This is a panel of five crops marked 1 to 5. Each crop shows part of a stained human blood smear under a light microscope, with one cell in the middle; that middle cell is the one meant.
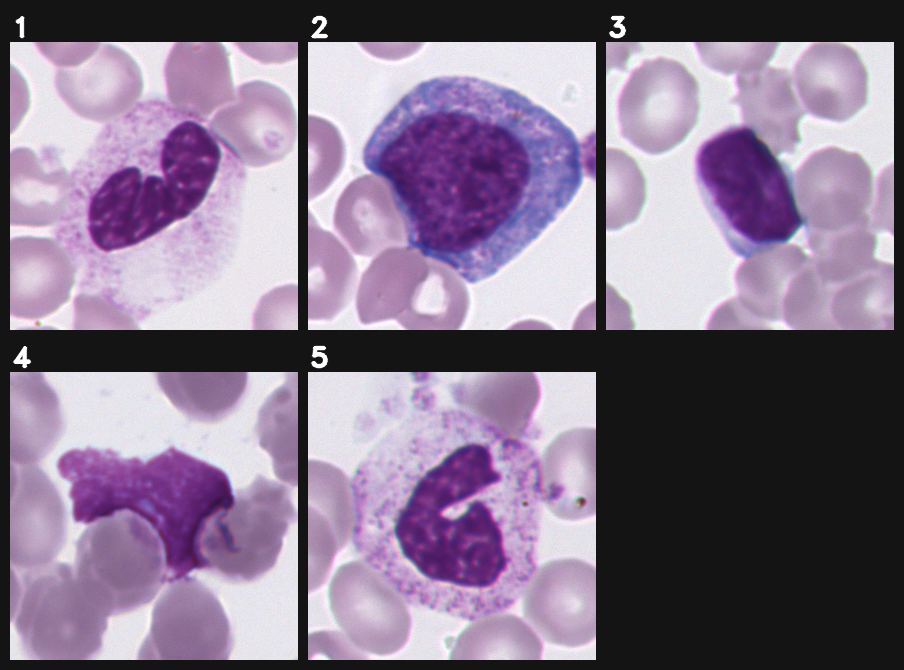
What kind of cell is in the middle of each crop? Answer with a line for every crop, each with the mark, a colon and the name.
1: segmented neutrophil
2: promyelocyte
3: typical lymphocyte
4: smudge cell
5: band neutrophil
